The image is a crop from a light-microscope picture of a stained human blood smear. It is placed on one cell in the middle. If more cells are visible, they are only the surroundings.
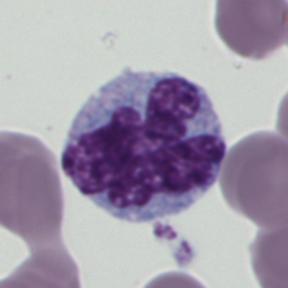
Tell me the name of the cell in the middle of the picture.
monocyte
